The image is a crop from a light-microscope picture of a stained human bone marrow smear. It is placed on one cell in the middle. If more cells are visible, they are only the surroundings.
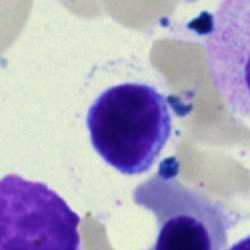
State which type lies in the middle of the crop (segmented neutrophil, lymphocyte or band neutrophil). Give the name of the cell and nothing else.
lymphocyte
